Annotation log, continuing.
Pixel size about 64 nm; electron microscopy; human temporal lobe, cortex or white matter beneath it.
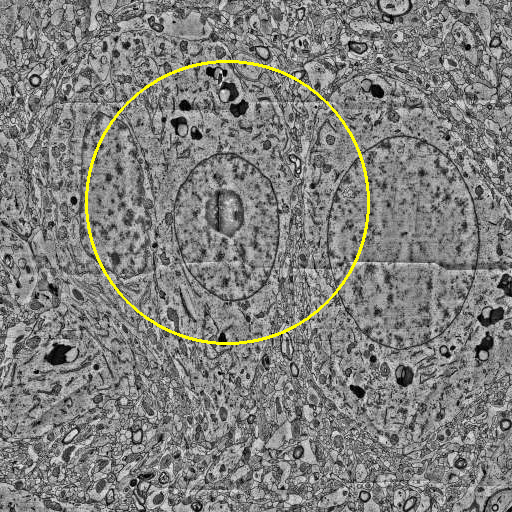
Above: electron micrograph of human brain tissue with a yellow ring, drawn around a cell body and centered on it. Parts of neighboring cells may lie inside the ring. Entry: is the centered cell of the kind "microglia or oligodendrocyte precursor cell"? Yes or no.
No, the centered cell is of another kind.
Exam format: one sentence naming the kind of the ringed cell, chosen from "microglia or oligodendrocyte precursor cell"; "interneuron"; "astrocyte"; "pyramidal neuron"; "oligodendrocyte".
This picture has a pyramidal neuron at the centre of its ring.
